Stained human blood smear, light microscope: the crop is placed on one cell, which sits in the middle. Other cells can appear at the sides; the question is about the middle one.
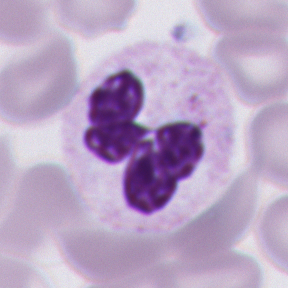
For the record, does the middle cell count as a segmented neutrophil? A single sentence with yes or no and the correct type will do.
Yes, a segmented neutrophil occupies the middle of the crop.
